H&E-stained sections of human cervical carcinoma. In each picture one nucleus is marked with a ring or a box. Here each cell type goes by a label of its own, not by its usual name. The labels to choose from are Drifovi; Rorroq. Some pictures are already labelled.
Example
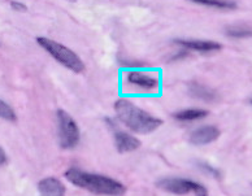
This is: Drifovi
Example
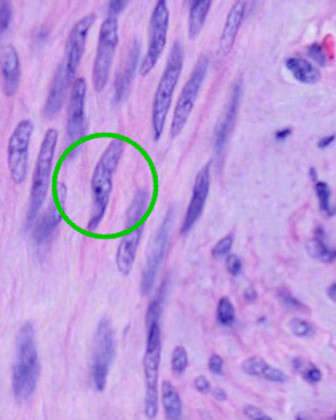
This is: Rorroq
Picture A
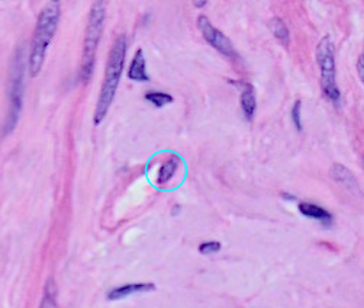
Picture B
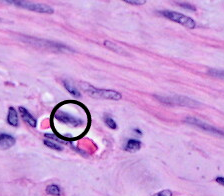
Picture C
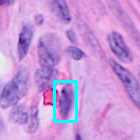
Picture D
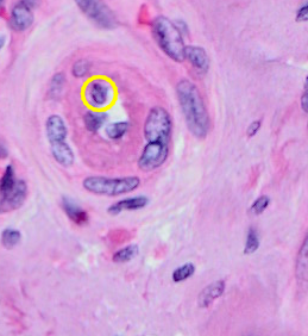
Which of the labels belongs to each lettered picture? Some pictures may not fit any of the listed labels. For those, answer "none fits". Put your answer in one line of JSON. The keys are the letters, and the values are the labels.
{"A": "none fits", "B": "none fits", "C": "none fits", "D": "none fits"}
